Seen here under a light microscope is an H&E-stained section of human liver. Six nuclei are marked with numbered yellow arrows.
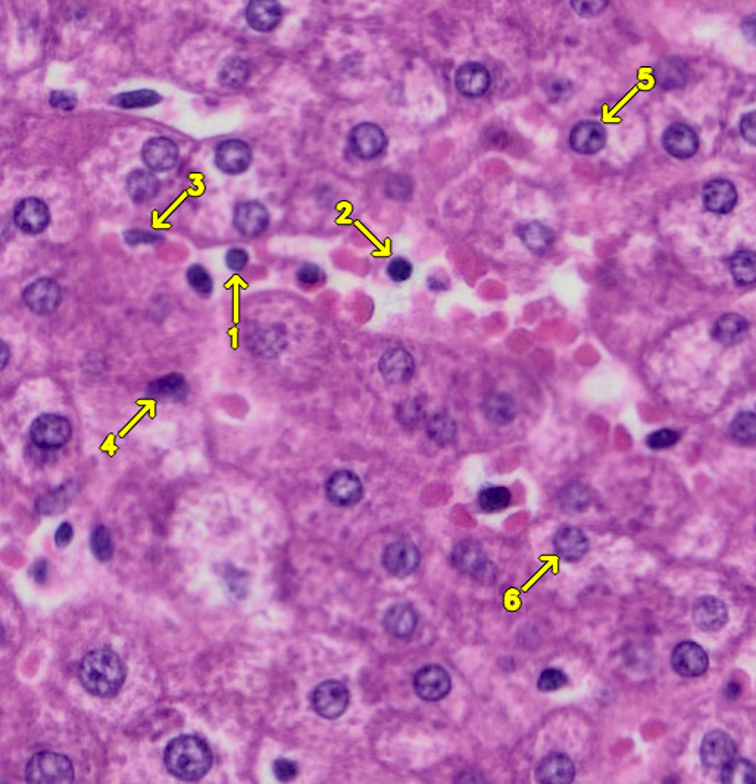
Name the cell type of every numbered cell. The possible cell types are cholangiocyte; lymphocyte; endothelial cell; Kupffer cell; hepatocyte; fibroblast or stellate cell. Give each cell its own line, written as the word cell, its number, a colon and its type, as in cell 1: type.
cell 1: lymphocyte
cell 2: lymphocyte
cell 3: endothelial cell
cell 4: fibroblast or stellate cell
cell 5: hepatocyte
cell 6: hepatocyte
